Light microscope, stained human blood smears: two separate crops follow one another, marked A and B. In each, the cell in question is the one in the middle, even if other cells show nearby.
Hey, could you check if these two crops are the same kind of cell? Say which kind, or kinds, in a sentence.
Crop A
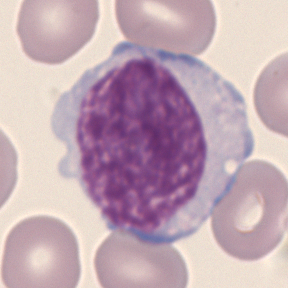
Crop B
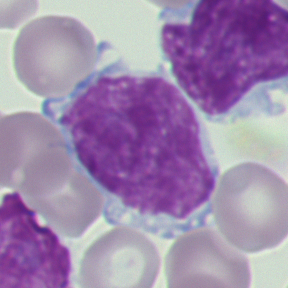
No, the cell centred in crop B is a typical lymphocyte; crop A centres on a myeloblast.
